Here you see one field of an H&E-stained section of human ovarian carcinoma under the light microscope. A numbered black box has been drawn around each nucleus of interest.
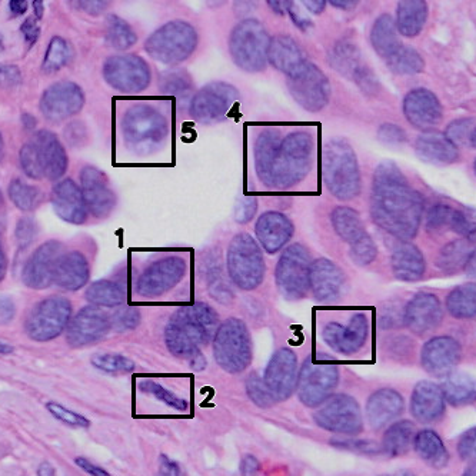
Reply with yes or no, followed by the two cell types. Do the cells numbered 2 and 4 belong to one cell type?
No, hold on, cell 2 is a fibroblast and cell 4 is a carcinoma cell.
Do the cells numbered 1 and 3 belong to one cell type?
No, cell 1 is identified as a carcinoma cell, and cell 3 is identified as a macrophage or monocyte.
